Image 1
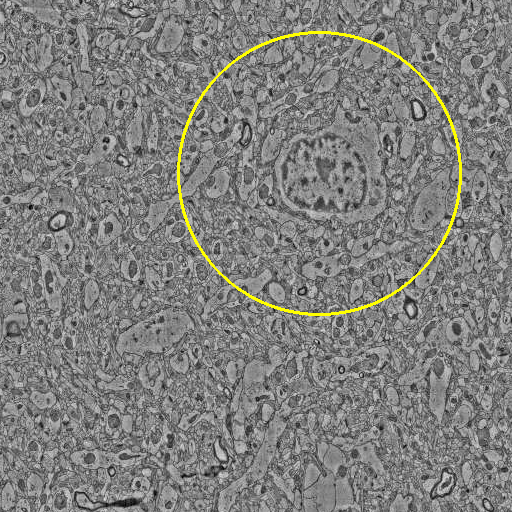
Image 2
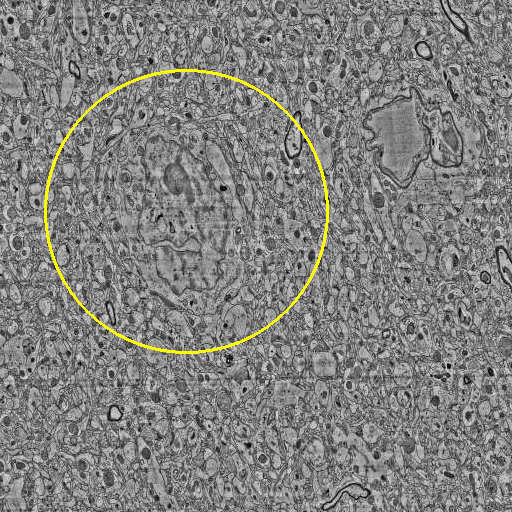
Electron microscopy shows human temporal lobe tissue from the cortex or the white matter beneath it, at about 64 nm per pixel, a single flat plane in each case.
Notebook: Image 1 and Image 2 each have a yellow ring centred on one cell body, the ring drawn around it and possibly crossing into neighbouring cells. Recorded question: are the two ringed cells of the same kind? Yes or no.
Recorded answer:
no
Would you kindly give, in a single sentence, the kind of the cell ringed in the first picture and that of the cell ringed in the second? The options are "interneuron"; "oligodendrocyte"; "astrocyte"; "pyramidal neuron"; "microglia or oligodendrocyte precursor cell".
The second cell is an interneuron, and the first cell is a microglial cell or oligodendrocyte precursor cell.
